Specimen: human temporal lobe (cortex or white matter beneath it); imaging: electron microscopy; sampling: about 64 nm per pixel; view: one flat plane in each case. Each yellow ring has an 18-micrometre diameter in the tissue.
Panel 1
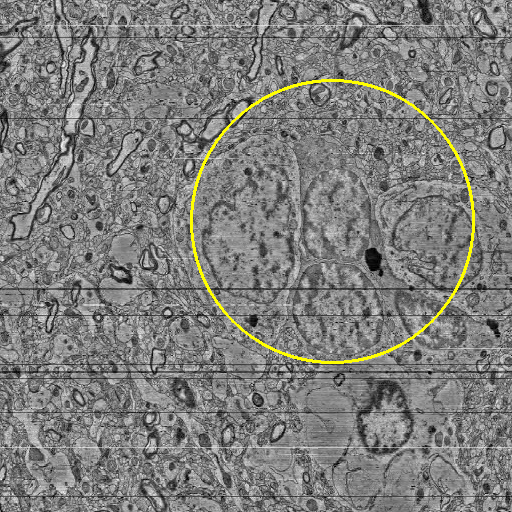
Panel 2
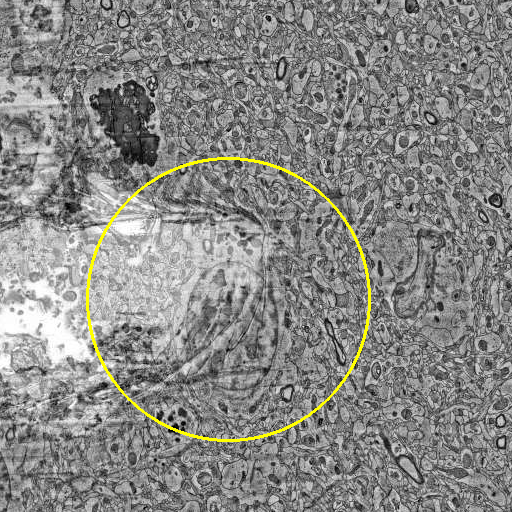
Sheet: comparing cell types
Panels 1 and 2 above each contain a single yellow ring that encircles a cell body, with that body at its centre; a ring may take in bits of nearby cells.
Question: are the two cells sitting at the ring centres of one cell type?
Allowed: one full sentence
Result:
No, the ring-centre cells in Panel 1 and Panel 2 are of two types.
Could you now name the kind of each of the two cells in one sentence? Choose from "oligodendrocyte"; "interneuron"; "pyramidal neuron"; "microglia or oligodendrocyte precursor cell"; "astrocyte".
The first ring encloses an oligodendrocyte; the second ring encloses an astrocyte.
